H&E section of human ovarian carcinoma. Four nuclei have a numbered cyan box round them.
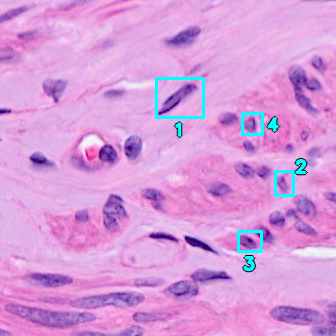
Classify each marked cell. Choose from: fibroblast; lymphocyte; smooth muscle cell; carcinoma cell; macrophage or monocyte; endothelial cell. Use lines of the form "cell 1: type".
cell 1: fibroblast
cell 2: smooth muscle cell
cell 3: smooth muscle cell
cell 4: smooth muscle cell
